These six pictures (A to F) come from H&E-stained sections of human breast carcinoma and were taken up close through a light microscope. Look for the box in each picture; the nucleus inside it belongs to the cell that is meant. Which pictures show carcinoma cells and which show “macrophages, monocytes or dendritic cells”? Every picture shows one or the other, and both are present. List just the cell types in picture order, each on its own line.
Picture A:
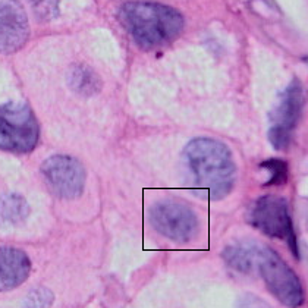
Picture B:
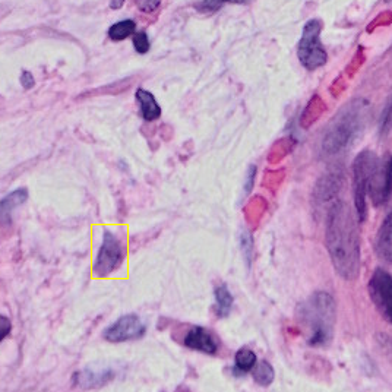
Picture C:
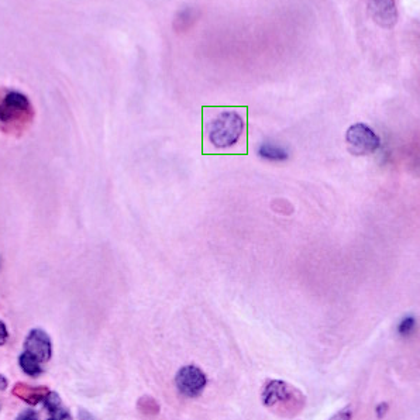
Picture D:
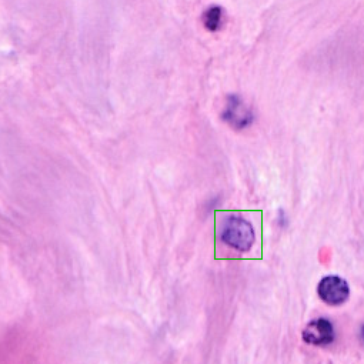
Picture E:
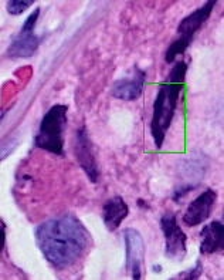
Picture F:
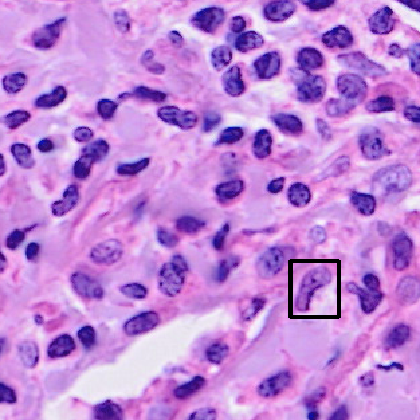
carcinoma cell
macrophage, monocyte or dendritic cell
macrophage, monocyte or dendritic cell
macrophage, monocyte or dendritic cell
carcinoma cell
macrophage, monocyte or dendritic cell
